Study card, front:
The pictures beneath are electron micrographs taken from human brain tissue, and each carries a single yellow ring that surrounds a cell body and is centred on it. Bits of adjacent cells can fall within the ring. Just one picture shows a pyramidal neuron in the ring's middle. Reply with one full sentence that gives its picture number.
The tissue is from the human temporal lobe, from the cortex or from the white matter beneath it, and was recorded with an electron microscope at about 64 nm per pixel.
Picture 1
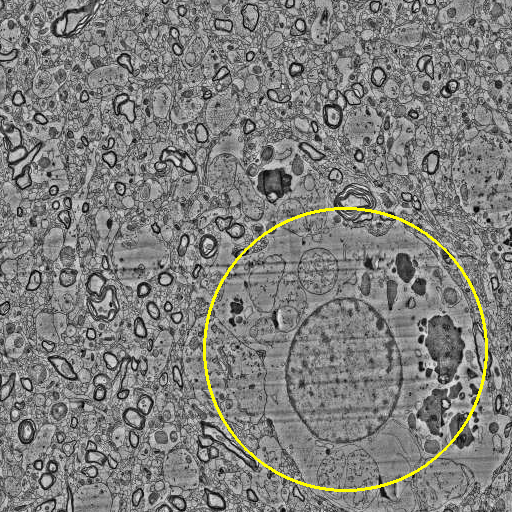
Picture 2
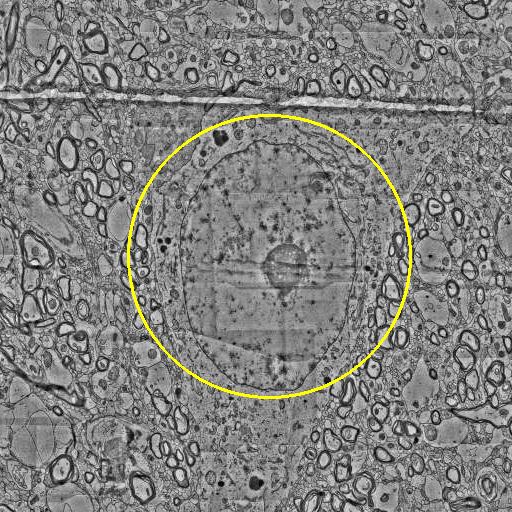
Picture 2 is the one whose ring has the requested cell at its centre.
